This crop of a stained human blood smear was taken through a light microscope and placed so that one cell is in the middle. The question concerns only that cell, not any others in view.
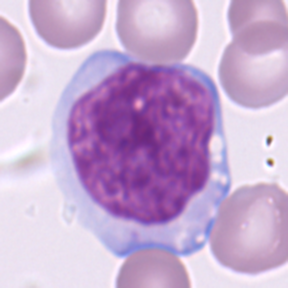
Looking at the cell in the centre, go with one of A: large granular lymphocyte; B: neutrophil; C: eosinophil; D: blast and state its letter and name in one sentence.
Here the central cell is a blast, and option D is correct.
